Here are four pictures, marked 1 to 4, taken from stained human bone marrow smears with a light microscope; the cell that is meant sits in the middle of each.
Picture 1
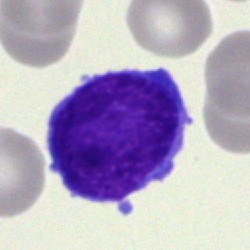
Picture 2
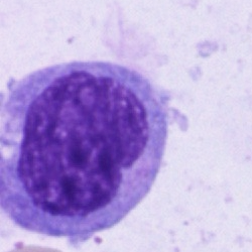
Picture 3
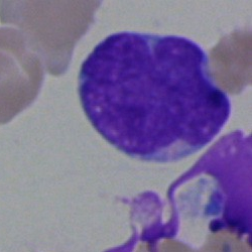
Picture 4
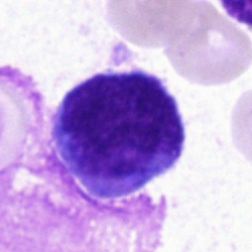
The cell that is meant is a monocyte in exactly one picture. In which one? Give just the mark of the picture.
2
